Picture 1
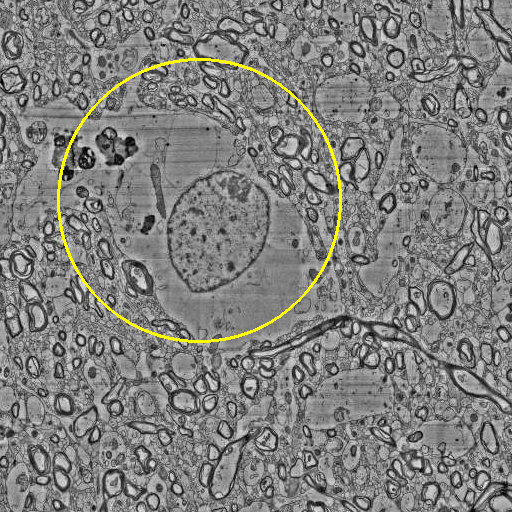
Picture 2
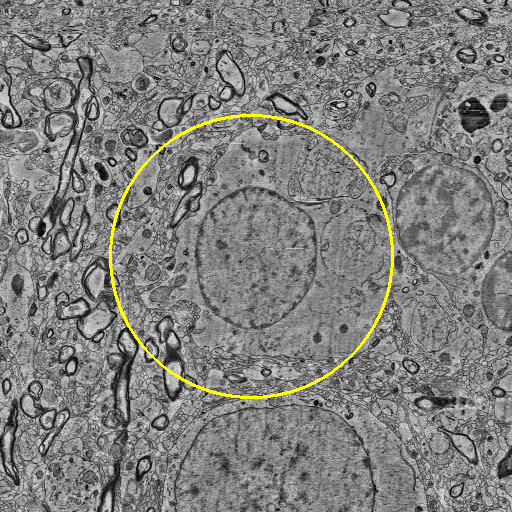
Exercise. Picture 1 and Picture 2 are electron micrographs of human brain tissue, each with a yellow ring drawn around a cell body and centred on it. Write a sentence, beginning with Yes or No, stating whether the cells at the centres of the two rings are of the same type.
Yes, the cells at the centres of both rings are of the same type.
